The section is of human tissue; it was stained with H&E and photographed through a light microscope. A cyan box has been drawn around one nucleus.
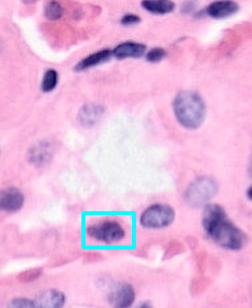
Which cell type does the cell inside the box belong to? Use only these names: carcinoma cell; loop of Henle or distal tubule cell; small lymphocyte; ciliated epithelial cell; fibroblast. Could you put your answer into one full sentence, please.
To be brief about it, the cell inside the box is a loop of Henle or distal tubule cell.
